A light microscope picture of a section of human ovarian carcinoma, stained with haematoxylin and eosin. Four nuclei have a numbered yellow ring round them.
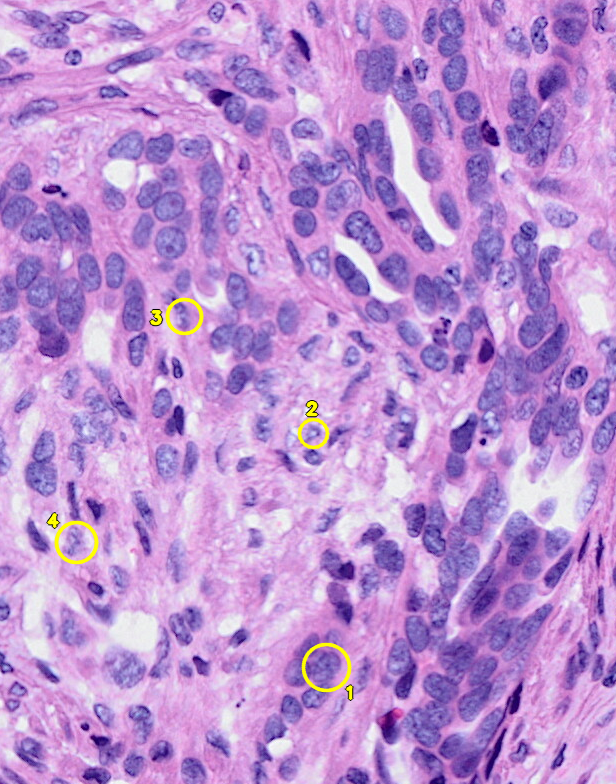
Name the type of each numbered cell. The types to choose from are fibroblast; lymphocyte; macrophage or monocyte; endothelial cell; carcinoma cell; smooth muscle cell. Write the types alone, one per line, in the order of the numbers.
carcinoma cell
fibroblast
fibroblast
fibroblast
